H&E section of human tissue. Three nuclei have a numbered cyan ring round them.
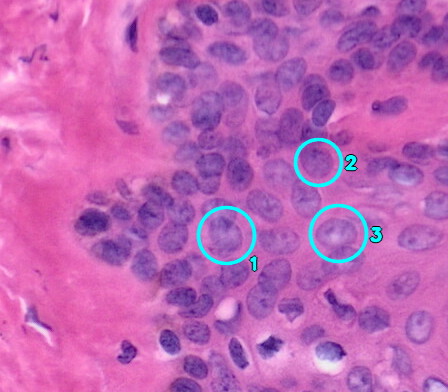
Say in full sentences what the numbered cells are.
Cell 1 is a suprabasal keratinocyte, cell 2 is a basal keratinocyte and cell 3 is a suprabasal keratinocyte.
